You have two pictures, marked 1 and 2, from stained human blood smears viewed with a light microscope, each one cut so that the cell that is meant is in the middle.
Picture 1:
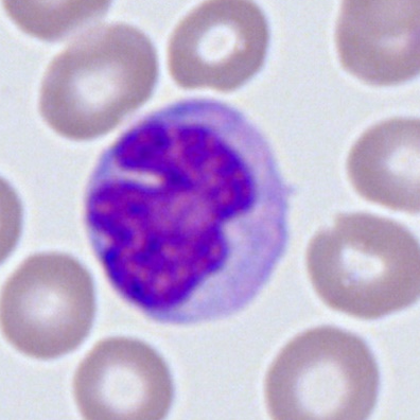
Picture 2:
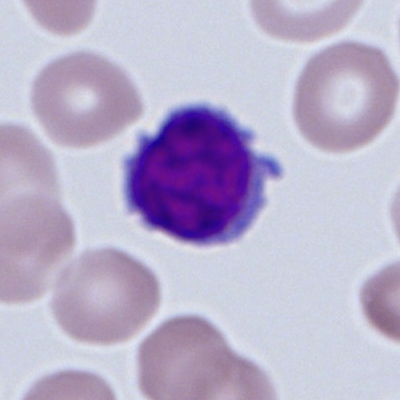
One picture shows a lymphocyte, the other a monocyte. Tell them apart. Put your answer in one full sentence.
It is picture 1 that shows a monocyte, and picture 2 that shows a lymphocyte.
